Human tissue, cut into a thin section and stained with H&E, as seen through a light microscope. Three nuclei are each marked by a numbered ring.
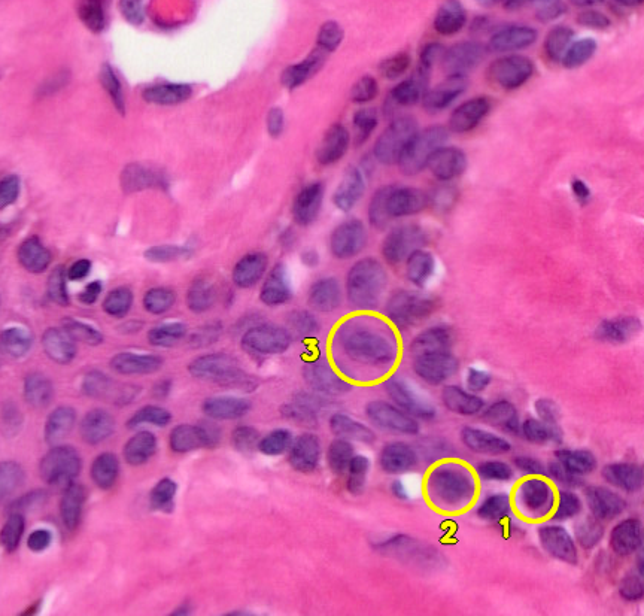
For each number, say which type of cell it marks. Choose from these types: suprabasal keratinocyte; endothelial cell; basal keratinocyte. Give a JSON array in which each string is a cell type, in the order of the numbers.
["basal keratinocyte", "basal keratinocyte", "suprabasal keratinocyte"]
